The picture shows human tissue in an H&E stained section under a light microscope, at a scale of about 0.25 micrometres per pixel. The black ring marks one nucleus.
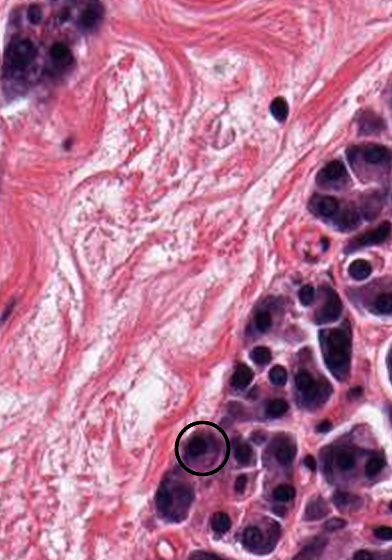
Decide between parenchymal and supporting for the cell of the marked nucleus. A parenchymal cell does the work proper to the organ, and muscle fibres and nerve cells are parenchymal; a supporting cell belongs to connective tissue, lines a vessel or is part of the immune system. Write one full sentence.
The marked nucleus is enclosed by a parenchymal cell, namely a pancreatic acinar cell.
